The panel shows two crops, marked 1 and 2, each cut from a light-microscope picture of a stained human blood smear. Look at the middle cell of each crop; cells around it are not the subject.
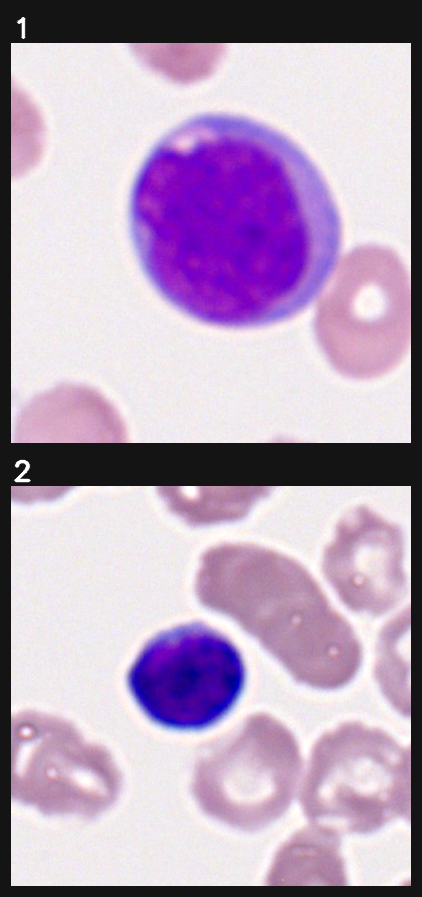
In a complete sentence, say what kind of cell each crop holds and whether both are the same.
No, crop 1 displays a blast and crop 2 displays a lymphocyte.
